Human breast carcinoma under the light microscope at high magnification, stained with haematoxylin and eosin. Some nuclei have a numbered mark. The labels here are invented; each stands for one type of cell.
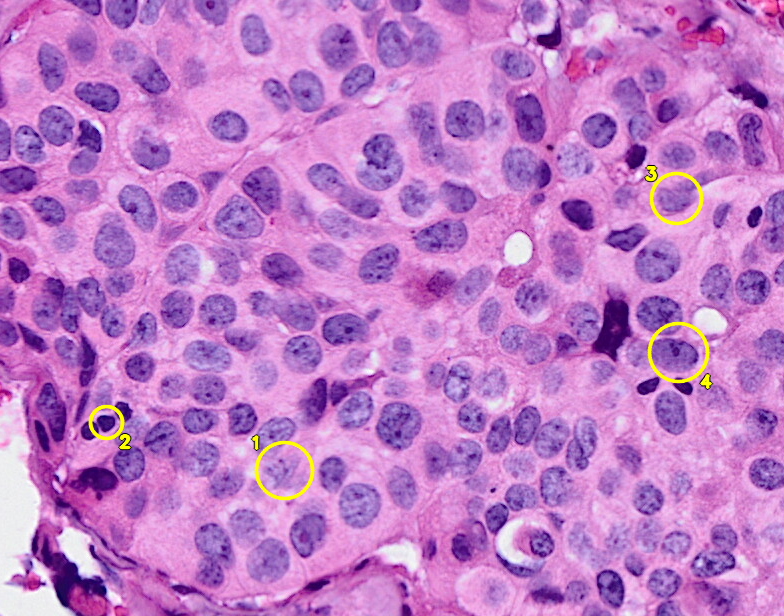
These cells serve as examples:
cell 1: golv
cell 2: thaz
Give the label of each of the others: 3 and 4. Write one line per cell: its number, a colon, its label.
3: golv
4: golv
